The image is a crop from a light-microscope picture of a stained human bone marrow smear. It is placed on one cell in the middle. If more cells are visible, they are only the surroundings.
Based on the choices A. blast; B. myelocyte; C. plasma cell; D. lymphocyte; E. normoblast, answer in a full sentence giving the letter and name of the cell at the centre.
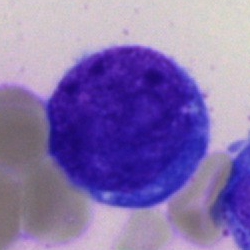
Here the right option is A, as the cell in the middle is a blast.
